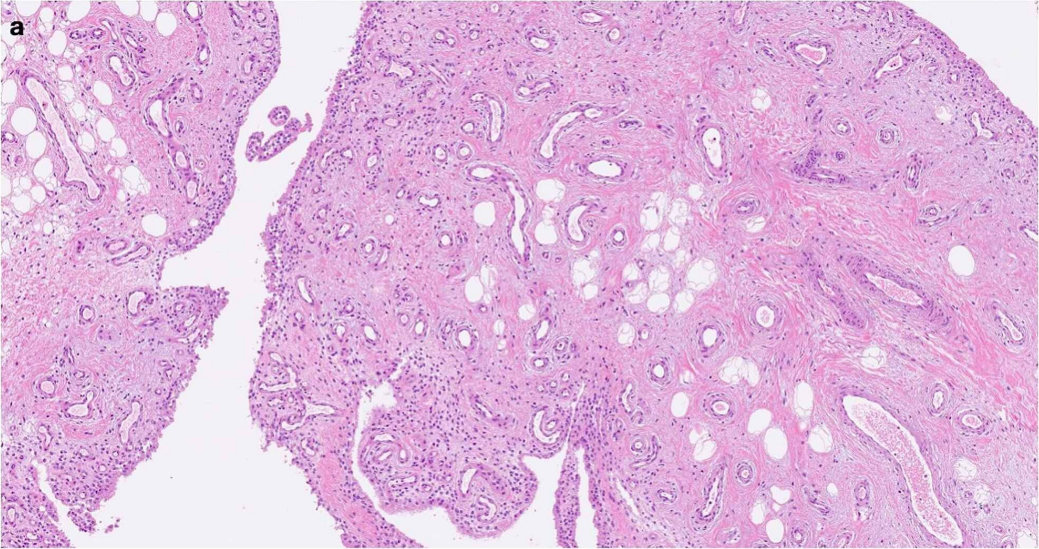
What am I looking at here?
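This is synovium that forms villous fronds and nodular masses, the fronds projecting along the free edges. The pink fibrous stroma holds many small thick-walled vessels and clusters of clear fat vacuoles. The free surfaces are covered by a lining of cells.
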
